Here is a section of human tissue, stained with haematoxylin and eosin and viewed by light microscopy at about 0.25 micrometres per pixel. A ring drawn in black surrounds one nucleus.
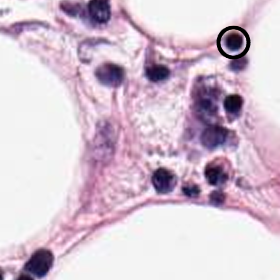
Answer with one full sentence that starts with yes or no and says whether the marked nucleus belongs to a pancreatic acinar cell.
No, the marked nucleus belongs not to a pancreatic acinar cell but to a supporting cell of connective tissue, a vessel or the immune system.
